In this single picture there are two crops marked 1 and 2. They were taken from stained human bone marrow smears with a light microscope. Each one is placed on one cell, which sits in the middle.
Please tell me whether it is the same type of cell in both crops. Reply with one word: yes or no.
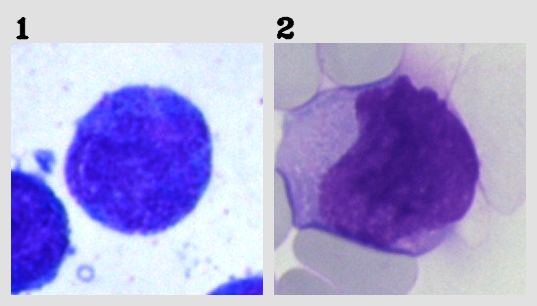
yes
